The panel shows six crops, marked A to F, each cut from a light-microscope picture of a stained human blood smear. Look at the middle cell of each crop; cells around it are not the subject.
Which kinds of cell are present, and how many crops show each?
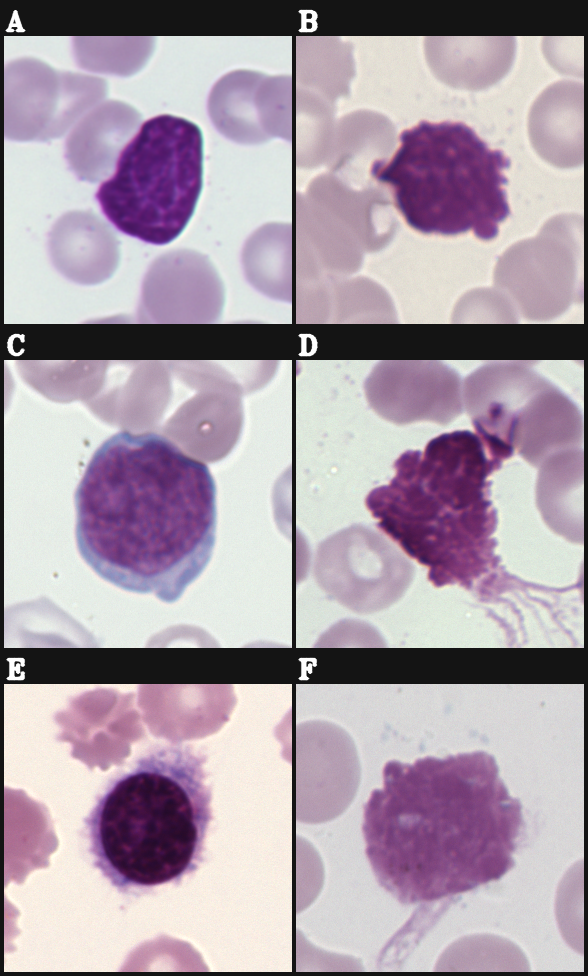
smudge cell: 4
myeloblast: 1
hairy cell: 1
